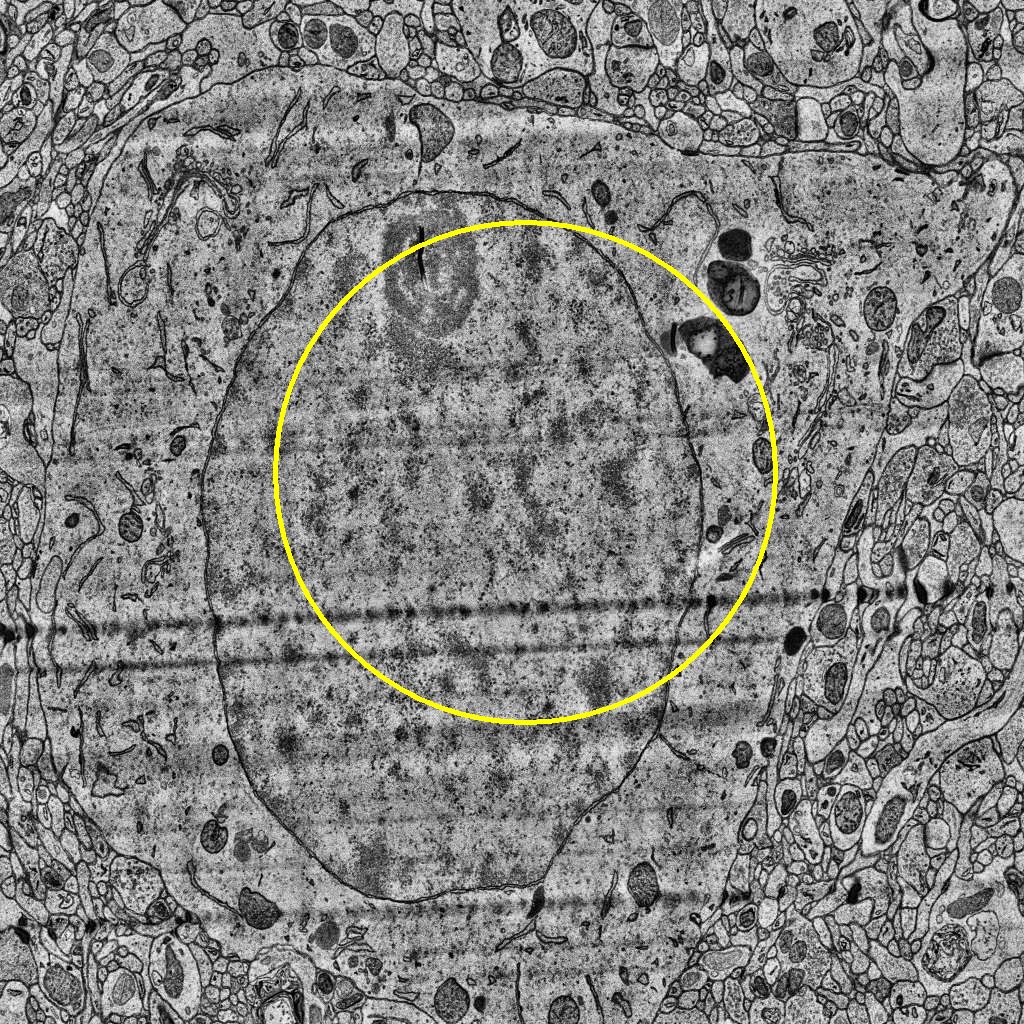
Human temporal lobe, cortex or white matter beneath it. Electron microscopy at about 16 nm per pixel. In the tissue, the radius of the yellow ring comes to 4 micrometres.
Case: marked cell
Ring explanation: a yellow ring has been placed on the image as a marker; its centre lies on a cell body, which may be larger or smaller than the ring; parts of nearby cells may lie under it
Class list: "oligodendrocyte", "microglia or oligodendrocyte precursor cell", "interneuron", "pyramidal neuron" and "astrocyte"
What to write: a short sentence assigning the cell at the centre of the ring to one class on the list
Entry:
The cell at the ring's centre is a pyramidal neuron.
